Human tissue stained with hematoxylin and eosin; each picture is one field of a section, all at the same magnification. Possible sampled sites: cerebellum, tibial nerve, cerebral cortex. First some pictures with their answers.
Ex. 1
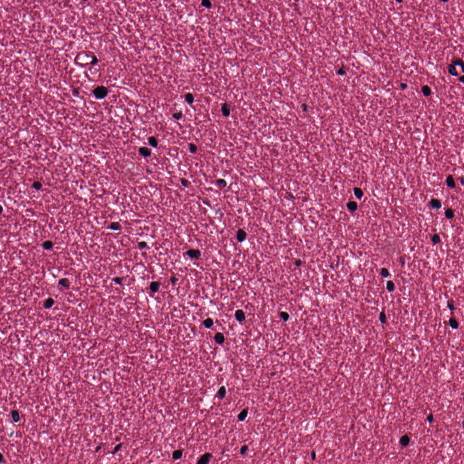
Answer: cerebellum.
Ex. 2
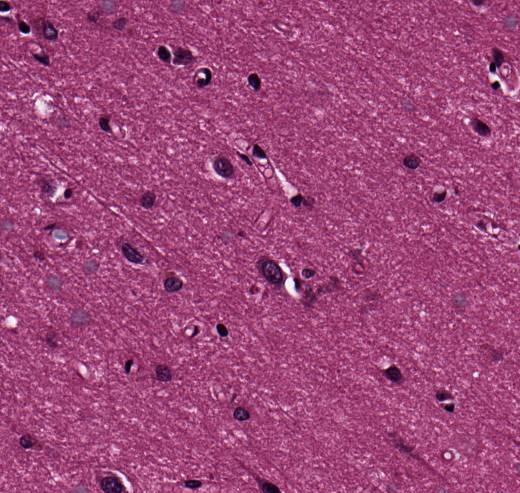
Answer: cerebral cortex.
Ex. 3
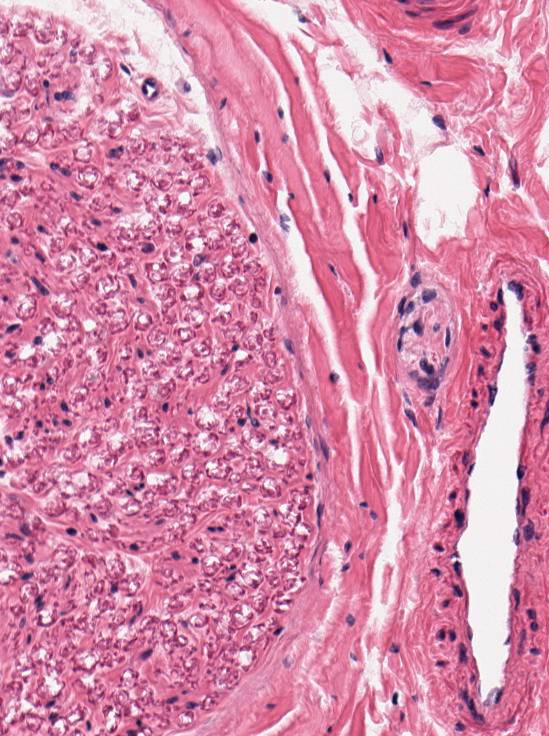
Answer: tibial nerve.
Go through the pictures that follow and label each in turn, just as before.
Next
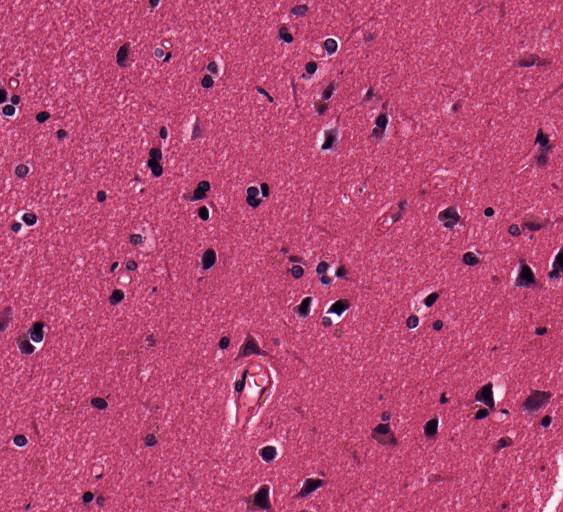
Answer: cerebral cortex.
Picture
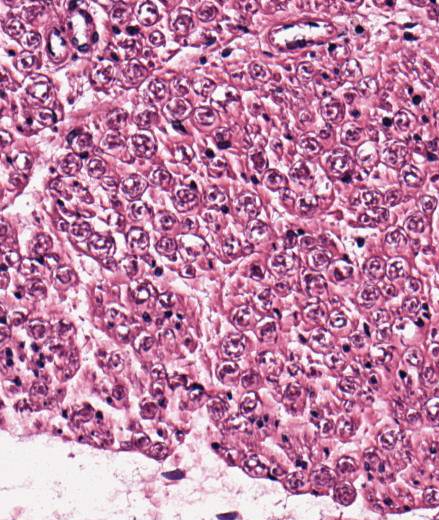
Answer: tibial nerve.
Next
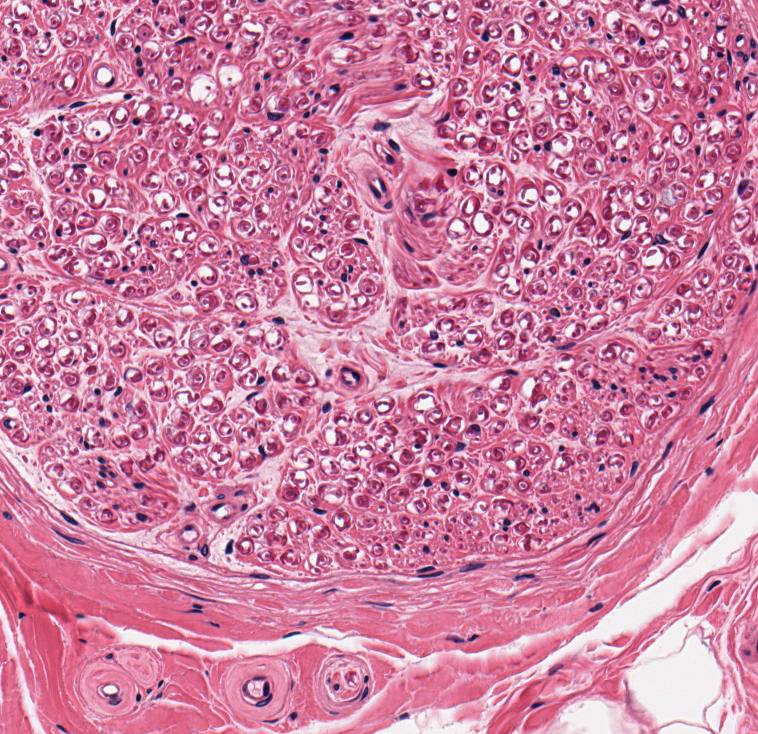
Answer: tibial nerve.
